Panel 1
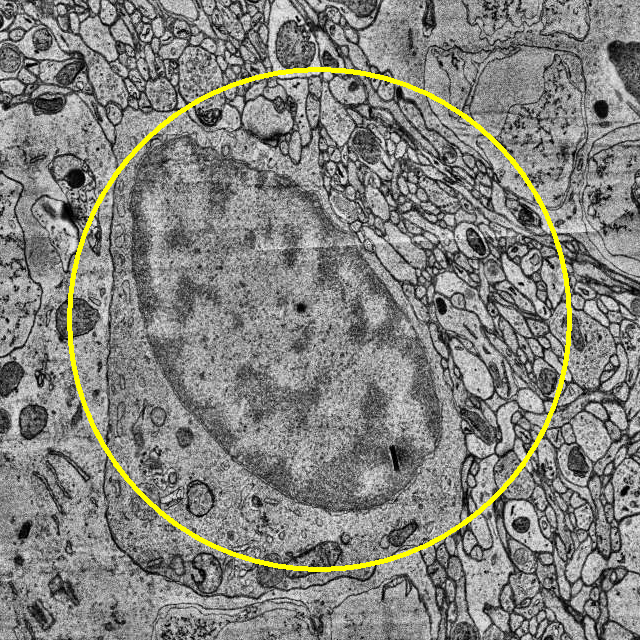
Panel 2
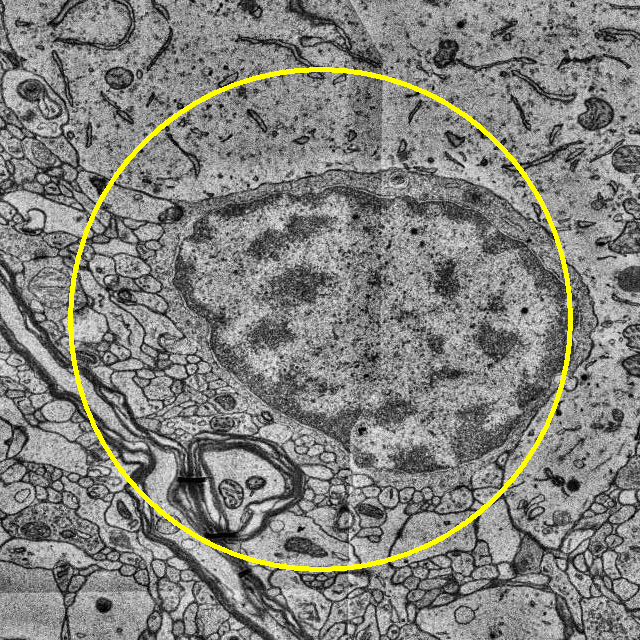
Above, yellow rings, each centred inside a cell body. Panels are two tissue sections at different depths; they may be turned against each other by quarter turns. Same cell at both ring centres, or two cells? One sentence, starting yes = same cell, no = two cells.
No, the marked cells are two, not one.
